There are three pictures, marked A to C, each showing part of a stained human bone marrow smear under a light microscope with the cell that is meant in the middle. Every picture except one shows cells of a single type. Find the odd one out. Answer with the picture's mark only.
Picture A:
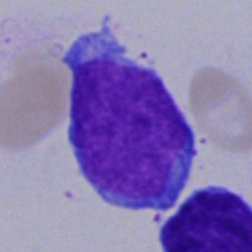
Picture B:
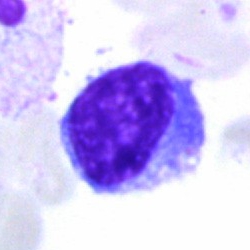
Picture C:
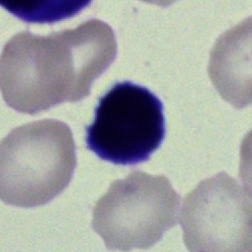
A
